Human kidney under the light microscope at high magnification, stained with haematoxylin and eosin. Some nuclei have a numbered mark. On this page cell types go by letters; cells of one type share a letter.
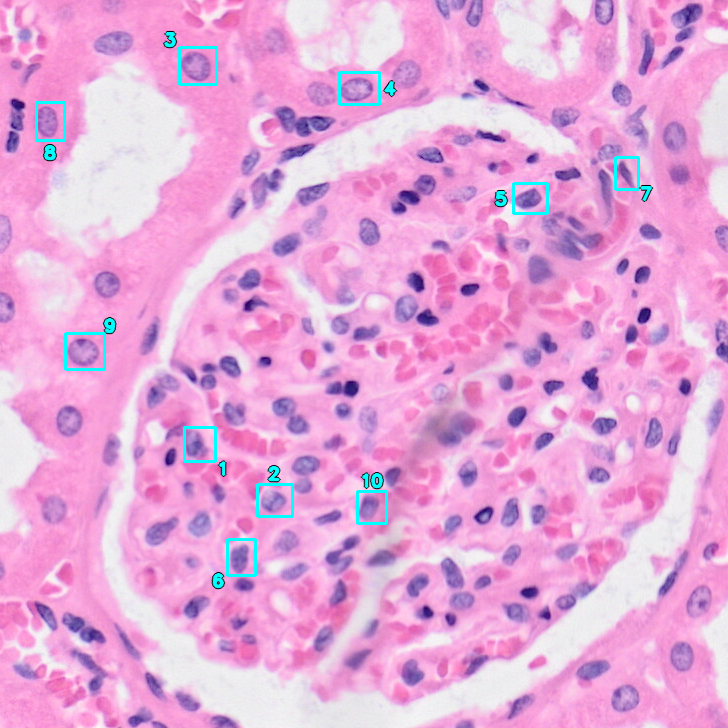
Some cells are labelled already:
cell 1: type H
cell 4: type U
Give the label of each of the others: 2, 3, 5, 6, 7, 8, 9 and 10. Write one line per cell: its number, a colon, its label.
2: type H
3: type U
5: type H
6: type H
7: type H
8: type U
9: type U
10: type H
